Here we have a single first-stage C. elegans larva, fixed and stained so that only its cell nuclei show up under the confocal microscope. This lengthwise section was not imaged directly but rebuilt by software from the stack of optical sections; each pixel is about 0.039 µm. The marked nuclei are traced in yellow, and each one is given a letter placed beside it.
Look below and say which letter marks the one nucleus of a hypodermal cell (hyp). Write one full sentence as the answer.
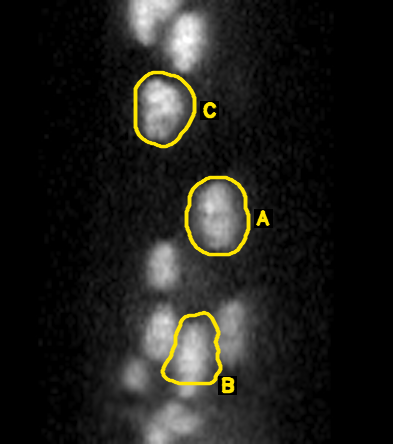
C is from a hypodermal cell (hyp).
